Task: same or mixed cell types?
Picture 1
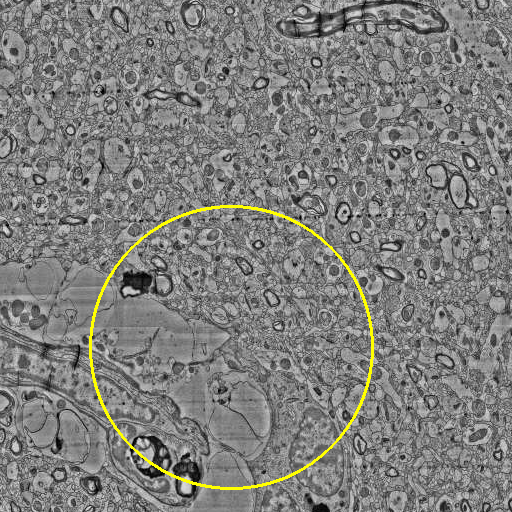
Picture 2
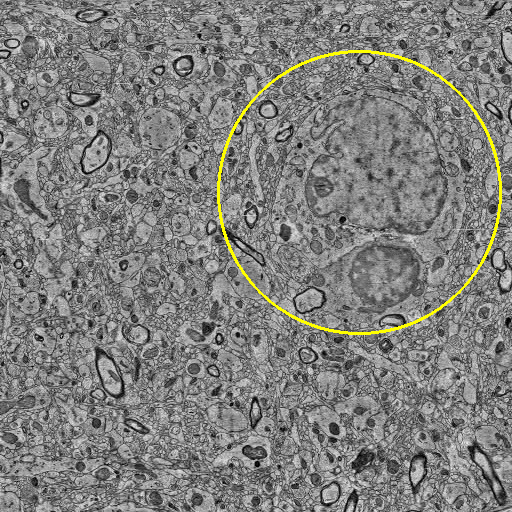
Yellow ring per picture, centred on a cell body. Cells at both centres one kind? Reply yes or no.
no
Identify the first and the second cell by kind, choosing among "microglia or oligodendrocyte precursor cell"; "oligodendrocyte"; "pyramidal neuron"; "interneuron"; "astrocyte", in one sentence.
The one in the first picture is an oligodendrocyte, while the one in the second is an interneuron.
